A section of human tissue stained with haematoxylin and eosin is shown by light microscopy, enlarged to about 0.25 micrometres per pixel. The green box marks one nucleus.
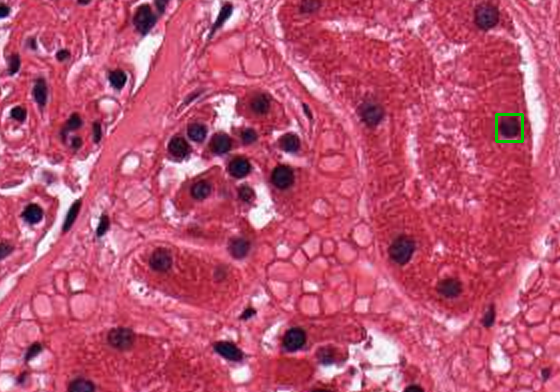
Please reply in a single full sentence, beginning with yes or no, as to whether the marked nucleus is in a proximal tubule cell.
Yes, the marked nucleus is part of a proximal tubule cell.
